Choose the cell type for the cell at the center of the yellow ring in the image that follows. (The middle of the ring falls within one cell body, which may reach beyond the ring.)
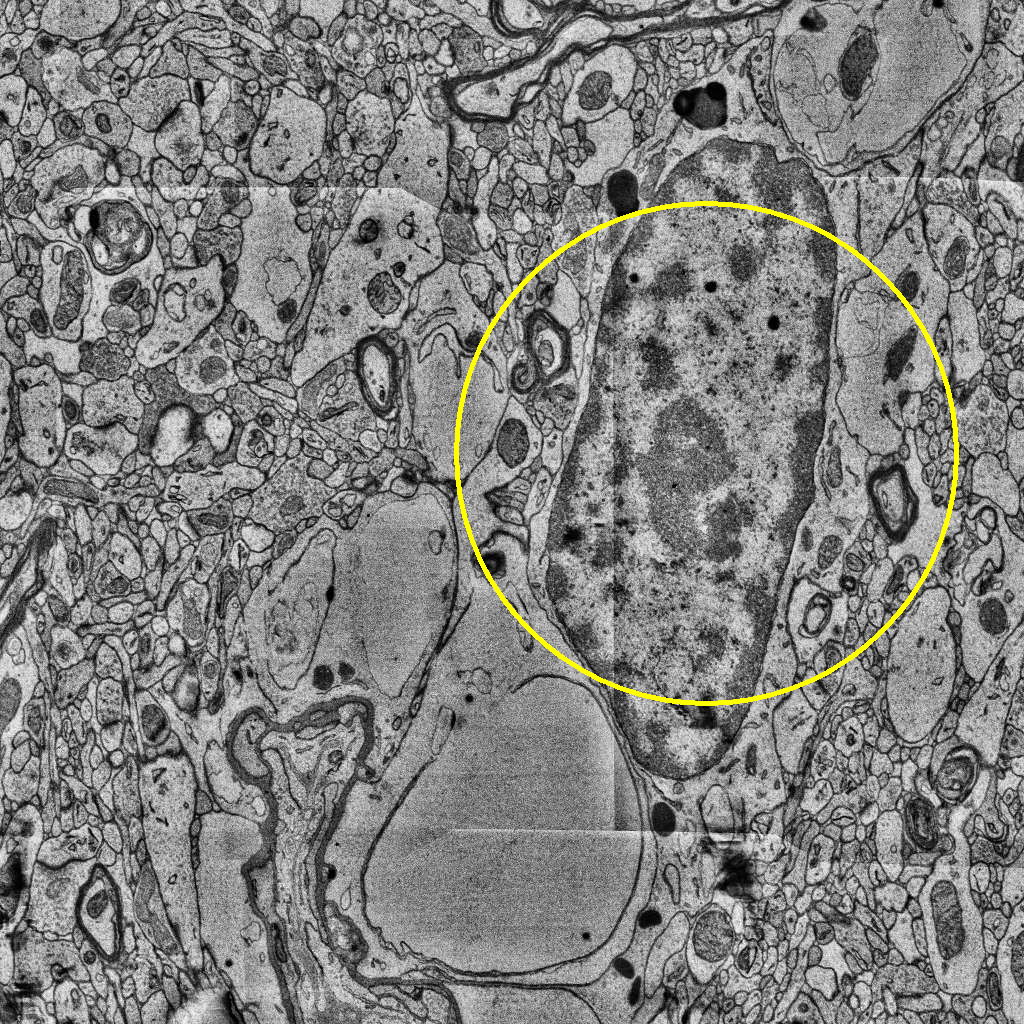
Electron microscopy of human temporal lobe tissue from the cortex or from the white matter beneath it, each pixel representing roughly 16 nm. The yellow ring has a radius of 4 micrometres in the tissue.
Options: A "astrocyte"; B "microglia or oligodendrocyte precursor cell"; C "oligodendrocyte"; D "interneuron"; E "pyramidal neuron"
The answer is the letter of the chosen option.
B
